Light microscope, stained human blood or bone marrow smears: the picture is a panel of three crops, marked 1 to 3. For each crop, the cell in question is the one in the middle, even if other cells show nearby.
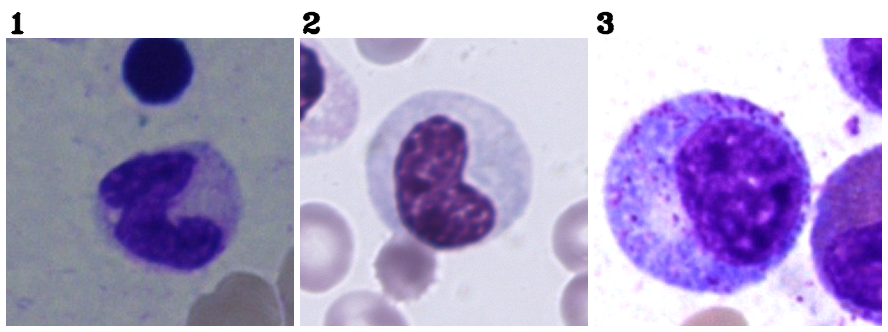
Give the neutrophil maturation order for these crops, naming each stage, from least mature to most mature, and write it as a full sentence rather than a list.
Ordered from least to most mature, the cells run crop 3 (a promyelocyte), crop 2 (a band neutrophil) and crop 1 (a segmented neutrophil).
